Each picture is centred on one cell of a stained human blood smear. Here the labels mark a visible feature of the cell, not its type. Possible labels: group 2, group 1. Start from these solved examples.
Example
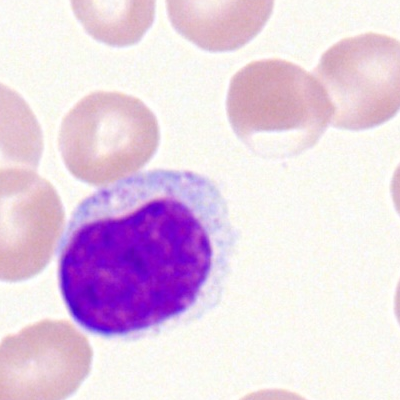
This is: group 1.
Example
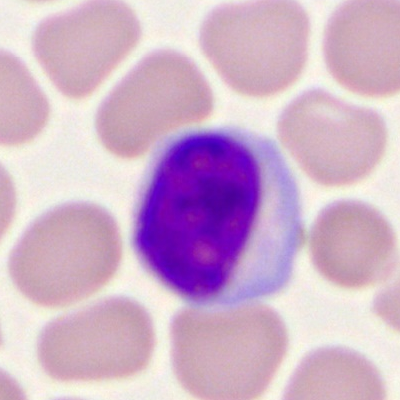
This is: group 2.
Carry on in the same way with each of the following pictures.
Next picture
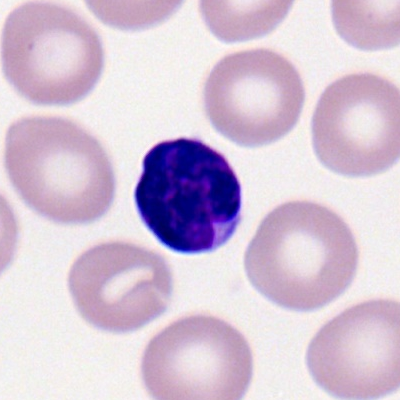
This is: group 2.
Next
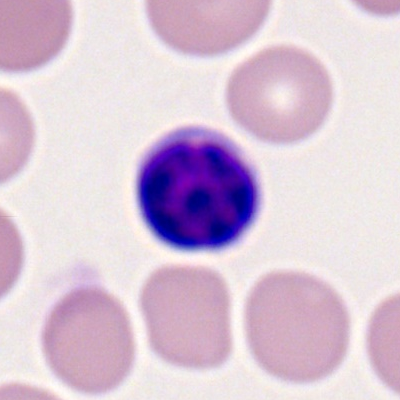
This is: group 2.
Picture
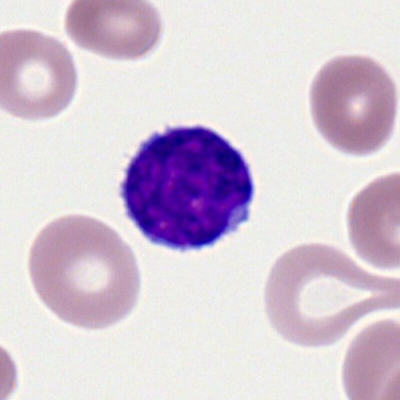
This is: group 1.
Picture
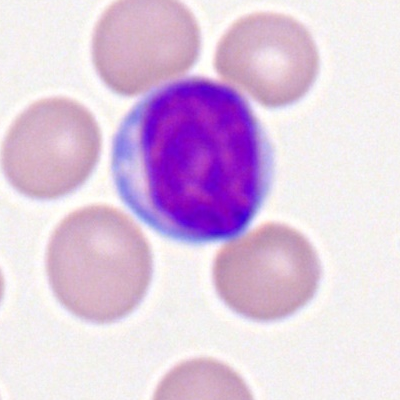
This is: group 2.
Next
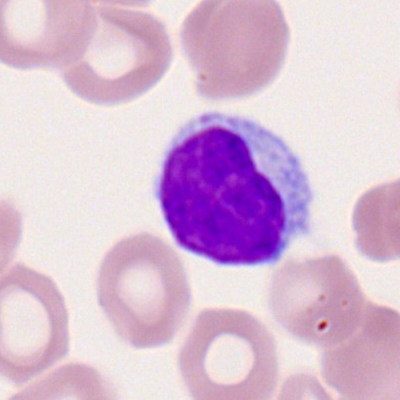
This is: group 2.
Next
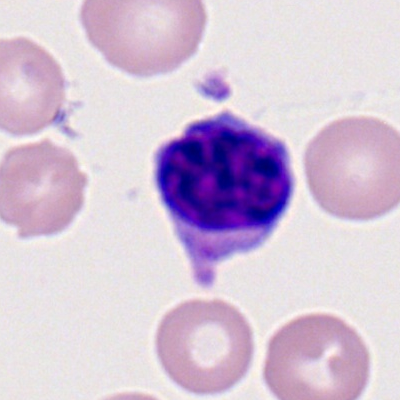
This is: group 1.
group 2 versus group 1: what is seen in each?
group 2: smooth outline; group 1: ragged outline or projections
